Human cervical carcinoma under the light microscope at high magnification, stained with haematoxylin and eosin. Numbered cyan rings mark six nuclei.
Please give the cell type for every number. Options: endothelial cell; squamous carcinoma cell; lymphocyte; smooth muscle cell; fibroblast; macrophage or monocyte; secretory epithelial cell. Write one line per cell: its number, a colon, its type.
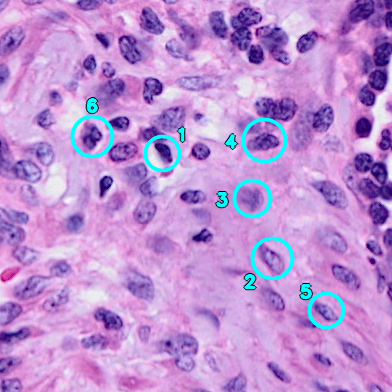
1: lymphocyte
2: smooth muscle cell
3: fibroblast
4: lymphocyte
5: smooth muscle cell
6: lymphocyte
